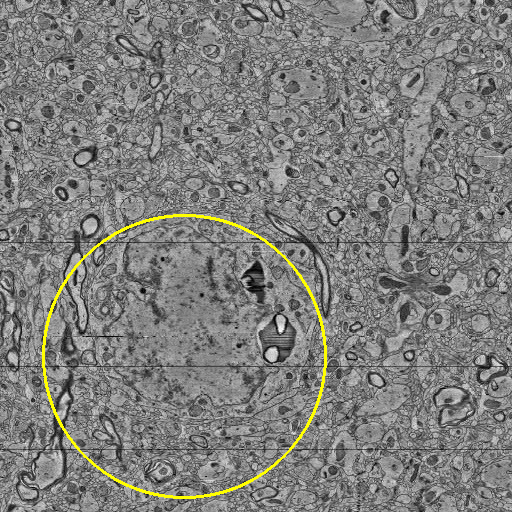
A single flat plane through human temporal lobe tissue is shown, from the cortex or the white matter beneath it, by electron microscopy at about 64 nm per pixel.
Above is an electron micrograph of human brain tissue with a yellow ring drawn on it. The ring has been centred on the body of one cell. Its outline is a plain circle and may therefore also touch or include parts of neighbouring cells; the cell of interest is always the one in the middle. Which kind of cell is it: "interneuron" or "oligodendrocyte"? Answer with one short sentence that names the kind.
The ring's central cell body is that of an interneuron.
